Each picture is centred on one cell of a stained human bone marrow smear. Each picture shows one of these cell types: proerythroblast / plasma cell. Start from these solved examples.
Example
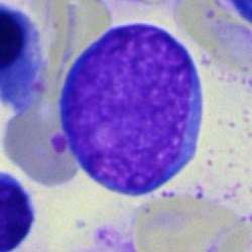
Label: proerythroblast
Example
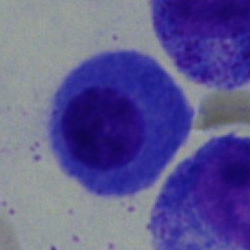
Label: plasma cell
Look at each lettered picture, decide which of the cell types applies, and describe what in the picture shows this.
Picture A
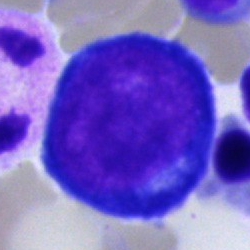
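proerythroblast. Evidence: The chromatin is finely textured rather than clumped.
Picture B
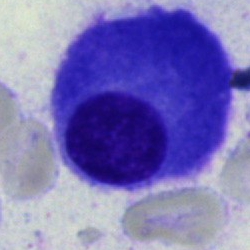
plasma cell. Evidence: The cytoplasm is abundant and covers more area than the nucleus.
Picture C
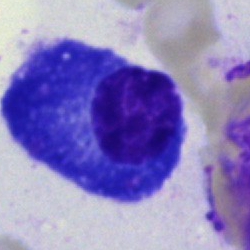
plasma cell. Evidence: The cytoplasm is abundant and deep blue.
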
